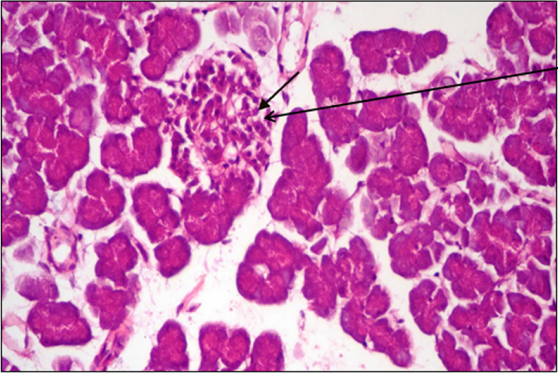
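Exocrine pancreas with rounded acini of pyramidal cells whose cytoplasm stains deep pink-red, separated by pale, widened spaces. Near the top centre a roundish, paler cluster of cells stands apart from the acini: its cells are loosely arranged, with scattered small, dark, condensed nuclear fragments and pale, disrupted cytoplasm, rather than the compact cords of a healthy endocrine islet. This is an islet of Langerhans showing necrosis of its cells. Some acinar cells show clear spaces in their cytoplasm, and the acini appear more separated from one another than in compact normal gland.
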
